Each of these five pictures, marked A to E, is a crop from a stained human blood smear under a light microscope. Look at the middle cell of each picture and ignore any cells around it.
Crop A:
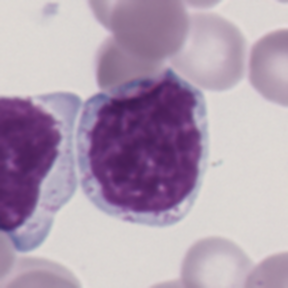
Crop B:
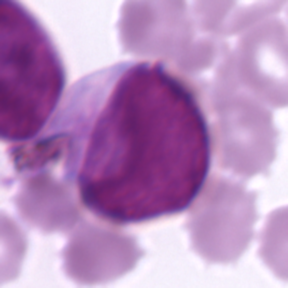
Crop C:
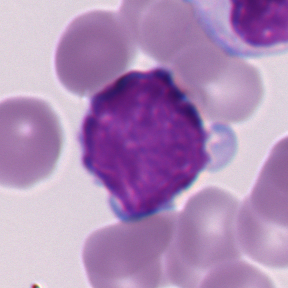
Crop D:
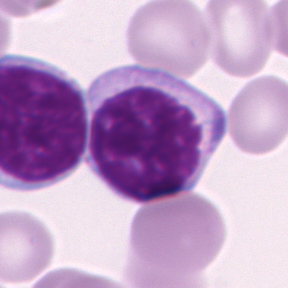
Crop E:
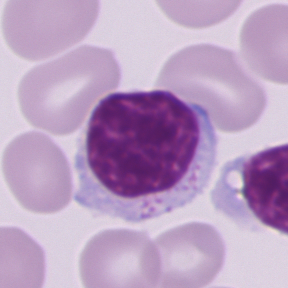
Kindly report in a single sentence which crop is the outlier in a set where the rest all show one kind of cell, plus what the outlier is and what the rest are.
The set is made up of large granular lymphocytes, with the single exception of crop B, which is a myeloblast.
